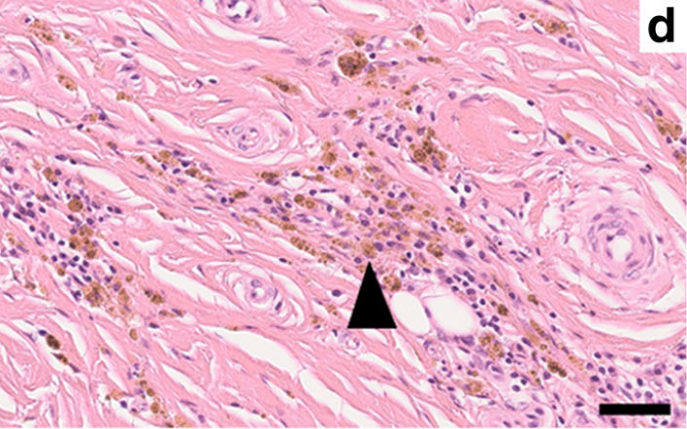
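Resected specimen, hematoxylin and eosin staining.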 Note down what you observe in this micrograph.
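This is fibrous tissue crowded with histiocytes that hold hemosiderin. The background is made of wavy pink collagen bundles with scattered small dark nuclei between them. Many cells carry coarse golden-brown granules in their cytoplasm, gathered in loose clusters among the fibres. Small vessels with thick concentric walls cross the field.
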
